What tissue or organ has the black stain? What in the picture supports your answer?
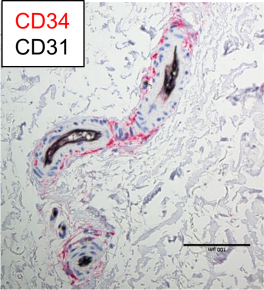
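A thin black layer lines the lumen of each vessel. The black layer sits on the inner surface of the wall, inside the rows of blue nuclei.
Hence: endothelium.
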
